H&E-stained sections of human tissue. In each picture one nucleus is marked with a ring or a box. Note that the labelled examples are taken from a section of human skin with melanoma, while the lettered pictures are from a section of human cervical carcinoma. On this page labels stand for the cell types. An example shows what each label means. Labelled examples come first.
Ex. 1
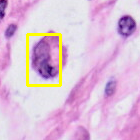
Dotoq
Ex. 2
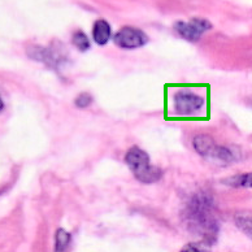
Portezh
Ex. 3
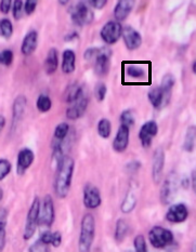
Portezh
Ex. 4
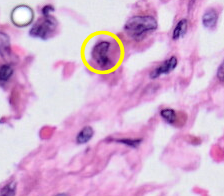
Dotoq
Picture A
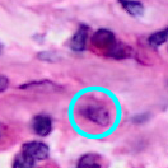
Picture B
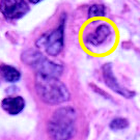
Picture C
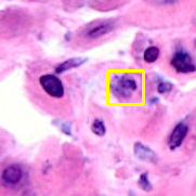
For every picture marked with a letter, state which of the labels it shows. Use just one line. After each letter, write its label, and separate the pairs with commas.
A Dotoq, B Dotoq, C Dotoq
